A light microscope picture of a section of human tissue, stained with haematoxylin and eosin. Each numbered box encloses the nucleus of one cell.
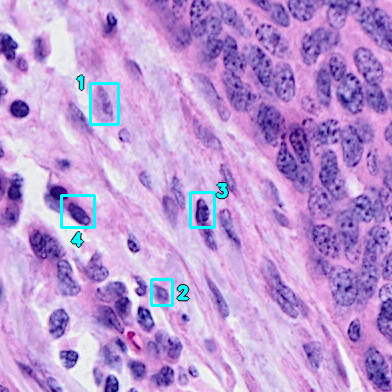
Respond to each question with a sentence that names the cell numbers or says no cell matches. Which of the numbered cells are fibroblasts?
Only the cell carrying number 1 is a fibroblast.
